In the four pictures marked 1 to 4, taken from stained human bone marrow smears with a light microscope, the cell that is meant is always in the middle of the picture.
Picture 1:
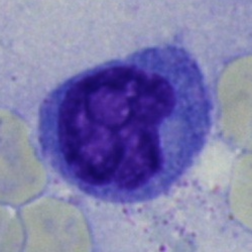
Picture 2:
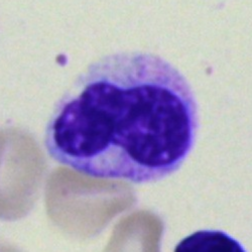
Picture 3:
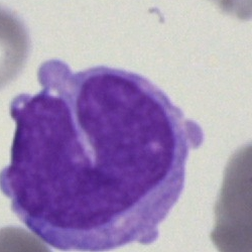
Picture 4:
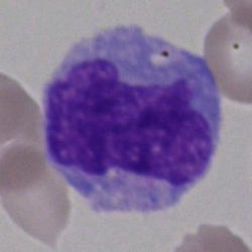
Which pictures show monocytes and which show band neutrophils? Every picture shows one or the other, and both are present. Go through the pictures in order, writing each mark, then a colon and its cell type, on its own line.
1: monocyte
2: band neutrophil
3: monocyte
4: monocyte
